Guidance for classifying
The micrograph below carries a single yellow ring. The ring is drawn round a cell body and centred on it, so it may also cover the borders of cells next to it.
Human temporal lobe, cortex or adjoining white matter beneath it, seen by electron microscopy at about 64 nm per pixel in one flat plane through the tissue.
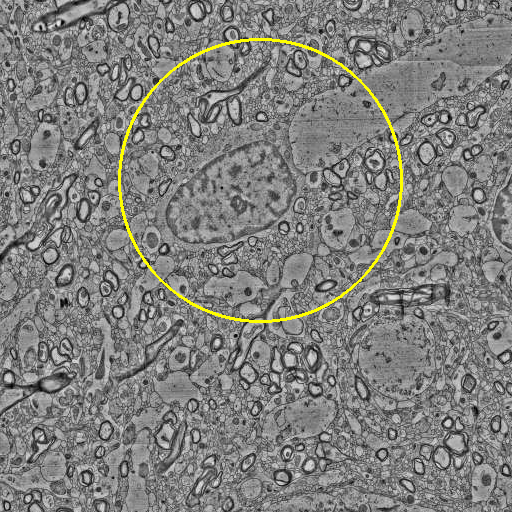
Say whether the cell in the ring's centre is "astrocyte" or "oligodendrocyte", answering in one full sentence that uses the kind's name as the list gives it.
Within the yellow ring, an oligodendrocyte is the cell whose body sits at the centre.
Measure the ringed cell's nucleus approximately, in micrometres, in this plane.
At approximately 8 by 5 micrometres, the nucleus is clearly longer than it is wide in this plane.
